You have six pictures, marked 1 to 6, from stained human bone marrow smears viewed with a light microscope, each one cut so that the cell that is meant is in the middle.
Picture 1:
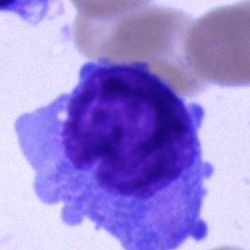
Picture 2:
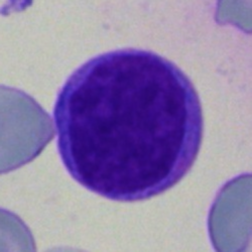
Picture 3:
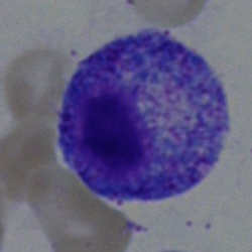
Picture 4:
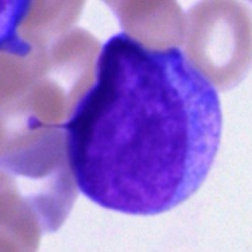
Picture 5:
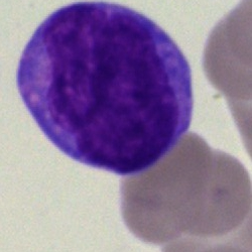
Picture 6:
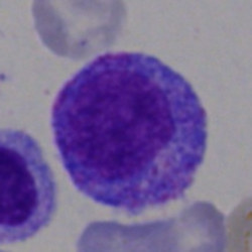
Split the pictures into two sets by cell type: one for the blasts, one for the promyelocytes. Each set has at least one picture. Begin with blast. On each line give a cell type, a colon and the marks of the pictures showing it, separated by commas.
blast: 1, 2, 4, 5
promyelocyte: 3, 6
